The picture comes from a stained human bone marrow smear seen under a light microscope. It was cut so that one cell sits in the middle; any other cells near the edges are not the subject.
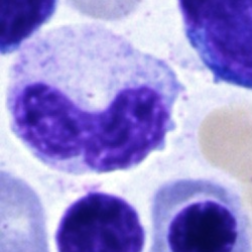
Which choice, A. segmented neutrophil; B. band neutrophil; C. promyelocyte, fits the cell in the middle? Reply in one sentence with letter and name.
That cell in the center is a band neutrophil, hence option B.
